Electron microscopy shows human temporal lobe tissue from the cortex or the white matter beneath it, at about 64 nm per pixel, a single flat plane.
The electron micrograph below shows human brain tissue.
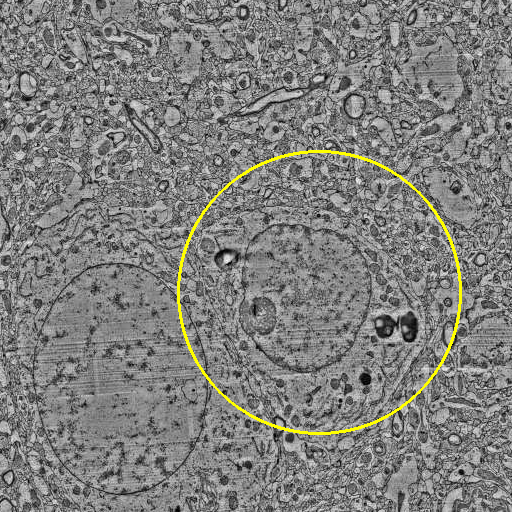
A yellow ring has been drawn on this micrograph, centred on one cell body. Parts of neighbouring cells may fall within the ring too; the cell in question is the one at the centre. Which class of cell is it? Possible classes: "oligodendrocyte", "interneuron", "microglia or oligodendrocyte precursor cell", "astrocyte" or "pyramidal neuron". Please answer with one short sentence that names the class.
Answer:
In the centre of the ring sits an interneuron.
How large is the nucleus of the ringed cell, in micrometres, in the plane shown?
The nucleus is approximately 9 micrometers across in this plane.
